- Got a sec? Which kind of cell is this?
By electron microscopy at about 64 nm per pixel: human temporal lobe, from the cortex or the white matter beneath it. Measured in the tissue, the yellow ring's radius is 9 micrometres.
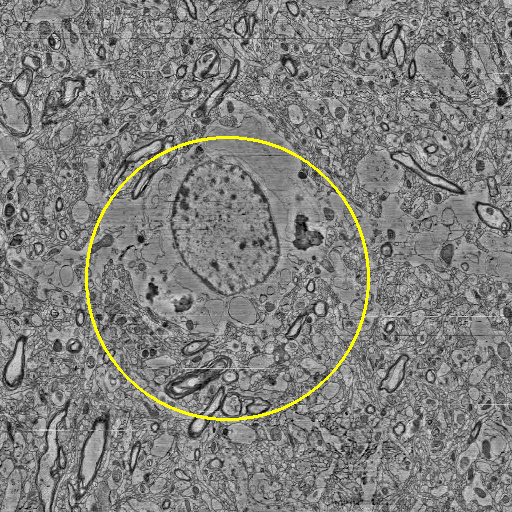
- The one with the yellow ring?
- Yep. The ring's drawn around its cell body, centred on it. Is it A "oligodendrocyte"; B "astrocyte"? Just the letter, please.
B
